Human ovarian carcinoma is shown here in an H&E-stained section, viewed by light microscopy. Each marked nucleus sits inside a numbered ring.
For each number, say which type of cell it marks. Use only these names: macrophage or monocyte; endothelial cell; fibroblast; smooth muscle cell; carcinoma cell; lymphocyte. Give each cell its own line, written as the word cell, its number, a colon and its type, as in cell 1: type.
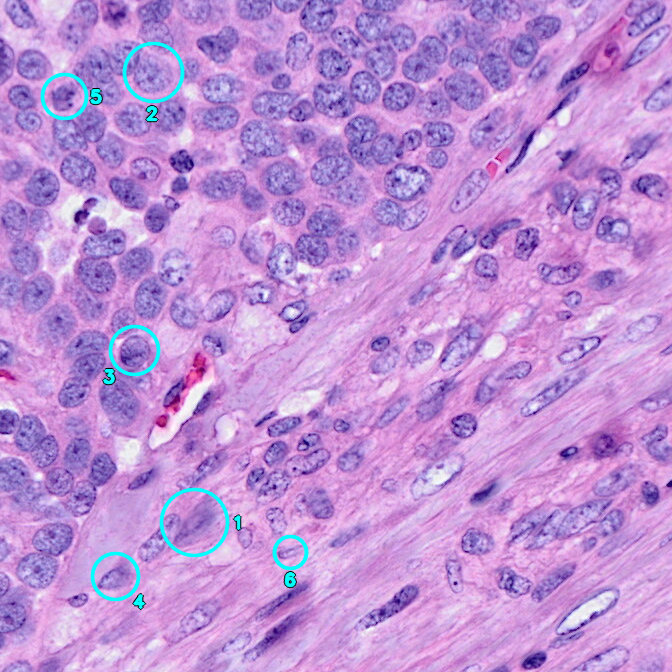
cell 1: fibroblast
cell 2: carcinoma cell
cell 3: carcinoma cell
cell 4: fibroblast
cell 5: macrophage or monocyte
cell 6: fibroblast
